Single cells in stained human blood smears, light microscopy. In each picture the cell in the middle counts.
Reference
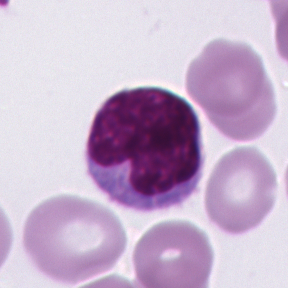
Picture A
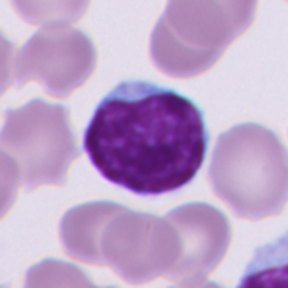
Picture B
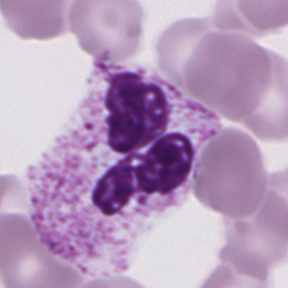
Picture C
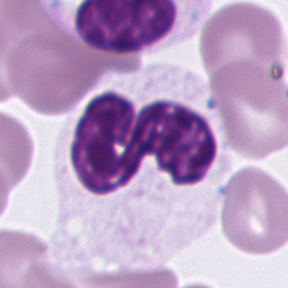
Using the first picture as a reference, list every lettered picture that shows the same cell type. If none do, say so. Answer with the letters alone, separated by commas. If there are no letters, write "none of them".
A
